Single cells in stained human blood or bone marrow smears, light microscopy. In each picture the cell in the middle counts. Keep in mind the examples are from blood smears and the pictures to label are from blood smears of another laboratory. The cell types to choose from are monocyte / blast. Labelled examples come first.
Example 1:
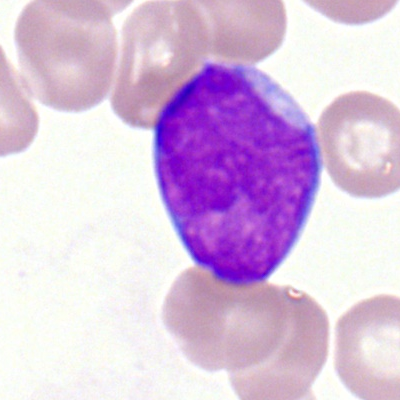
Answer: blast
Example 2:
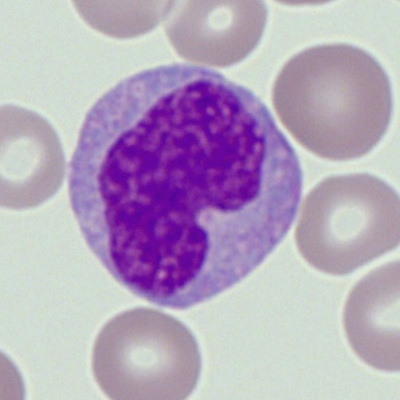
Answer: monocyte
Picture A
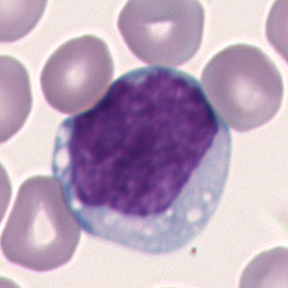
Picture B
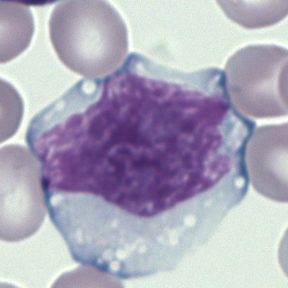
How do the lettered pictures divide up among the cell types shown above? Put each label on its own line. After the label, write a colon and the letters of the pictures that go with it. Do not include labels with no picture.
blast: A, B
